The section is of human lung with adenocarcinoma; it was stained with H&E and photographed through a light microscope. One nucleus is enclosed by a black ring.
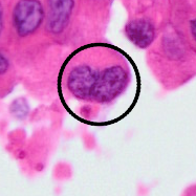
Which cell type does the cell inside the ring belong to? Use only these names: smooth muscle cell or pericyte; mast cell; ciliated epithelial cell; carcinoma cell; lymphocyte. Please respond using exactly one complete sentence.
Students should answer that the cell inside the ring is a carcinoma cell.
